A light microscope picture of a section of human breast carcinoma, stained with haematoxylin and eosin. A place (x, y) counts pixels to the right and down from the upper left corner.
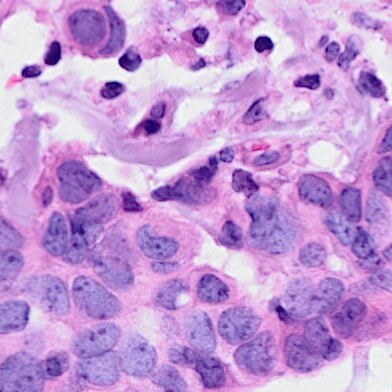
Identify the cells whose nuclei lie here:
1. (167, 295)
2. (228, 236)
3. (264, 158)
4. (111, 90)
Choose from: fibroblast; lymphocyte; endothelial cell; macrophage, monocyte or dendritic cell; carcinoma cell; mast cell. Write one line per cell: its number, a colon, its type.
1: carcinoma cell
2: carcinoma cell
3: endothelial cell
4: lymphocyte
